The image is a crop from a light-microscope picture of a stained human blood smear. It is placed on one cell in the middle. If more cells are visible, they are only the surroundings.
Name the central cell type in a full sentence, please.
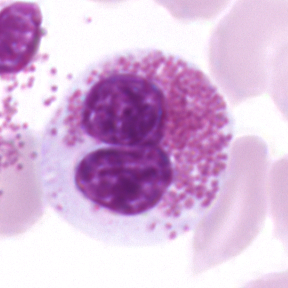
For this crop, the central cell is an eosinophil.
